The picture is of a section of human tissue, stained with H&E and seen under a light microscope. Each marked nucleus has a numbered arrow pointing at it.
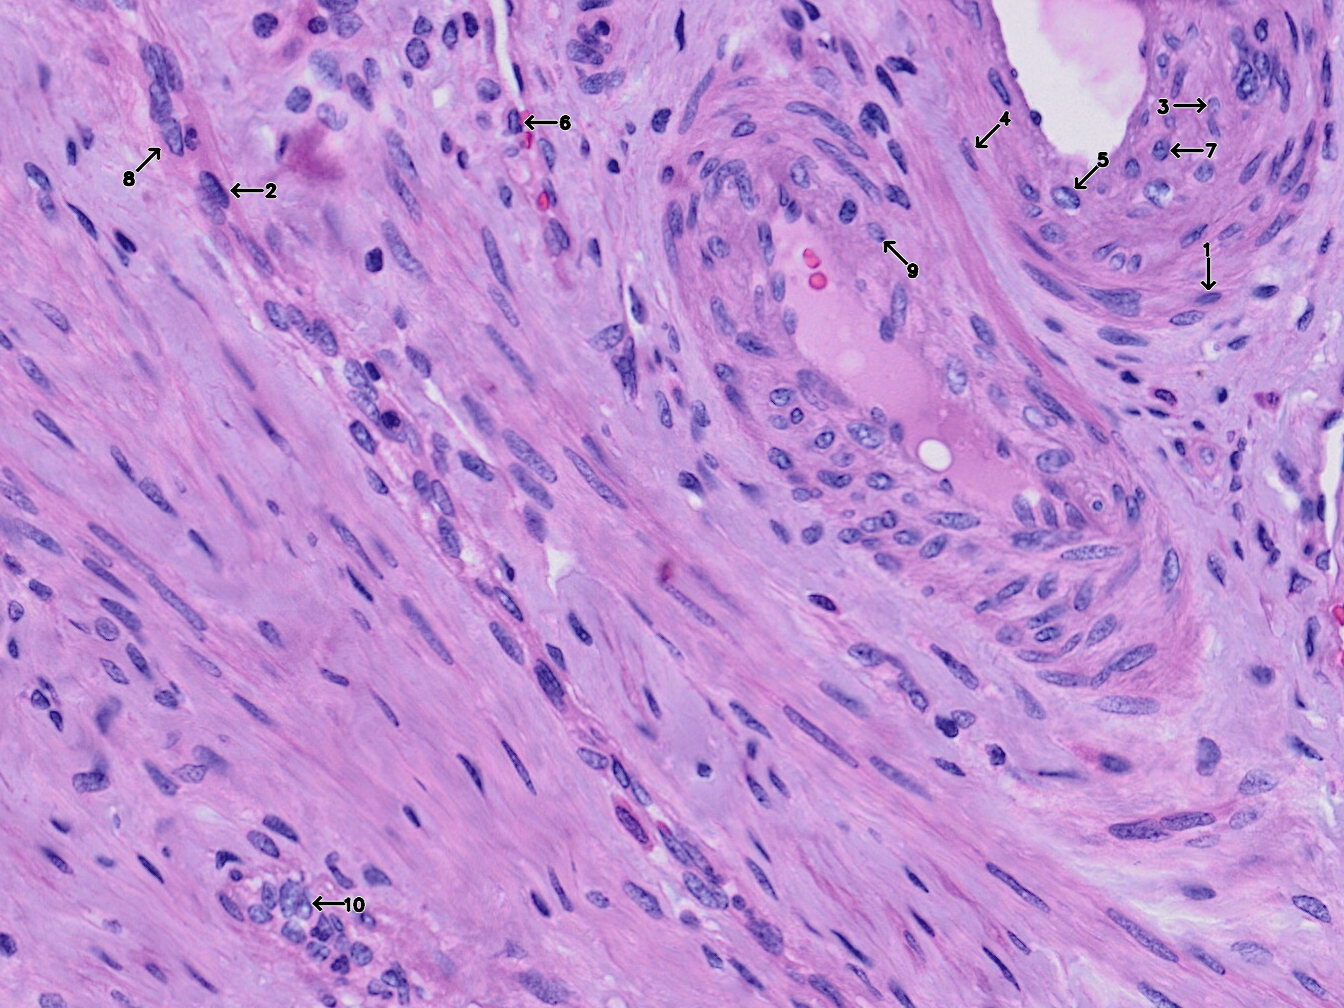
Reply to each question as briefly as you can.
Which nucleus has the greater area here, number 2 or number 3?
2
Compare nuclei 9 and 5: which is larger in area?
5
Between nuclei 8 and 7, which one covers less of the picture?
7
